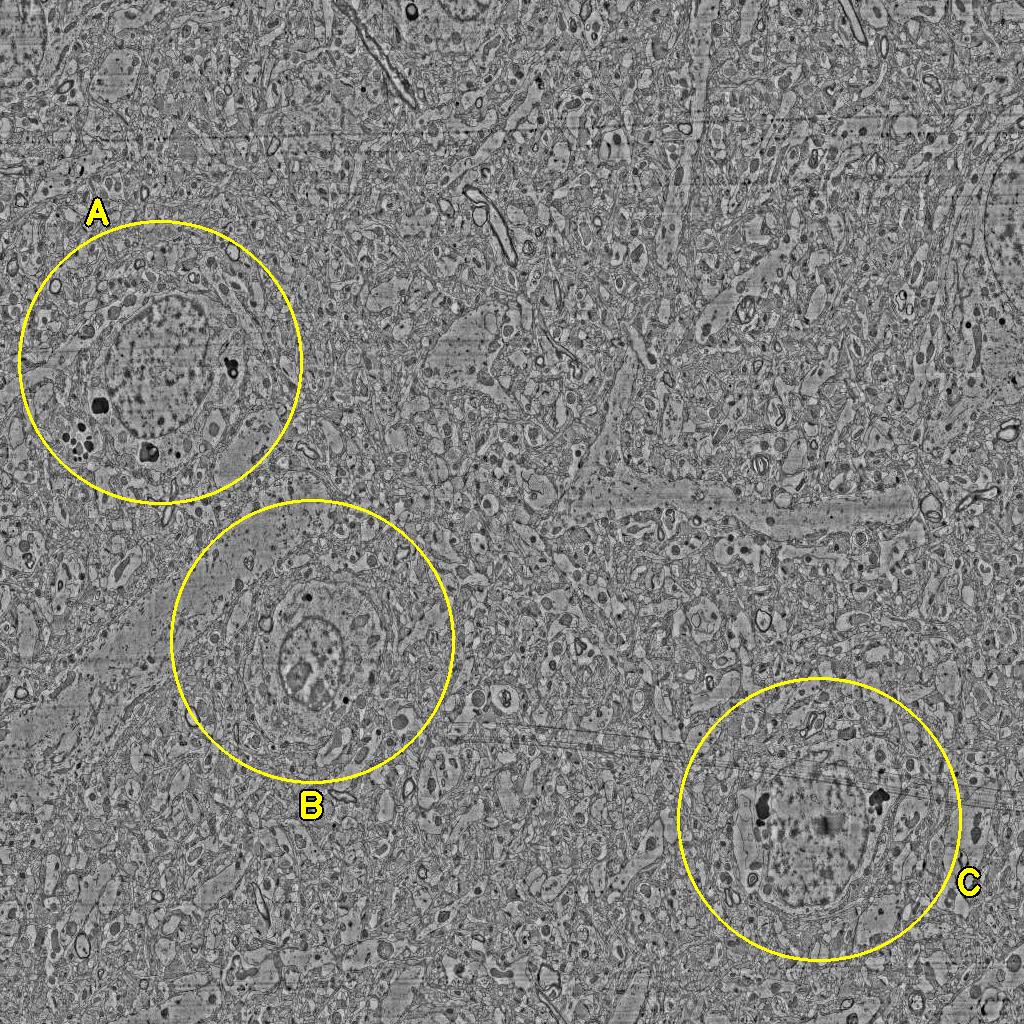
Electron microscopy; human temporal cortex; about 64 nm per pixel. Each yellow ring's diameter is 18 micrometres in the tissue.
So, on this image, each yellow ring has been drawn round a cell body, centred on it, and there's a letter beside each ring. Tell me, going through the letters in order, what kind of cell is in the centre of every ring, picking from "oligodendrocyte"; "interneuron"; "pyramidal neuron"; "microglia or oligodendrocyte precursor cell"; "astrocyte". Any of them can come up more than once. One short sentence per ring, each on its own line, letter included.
Ring A has been drawn round an interneuron.
Ring B has been drawn round a pyramidal neuron.
Ring C has been drawn round an interneuron.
